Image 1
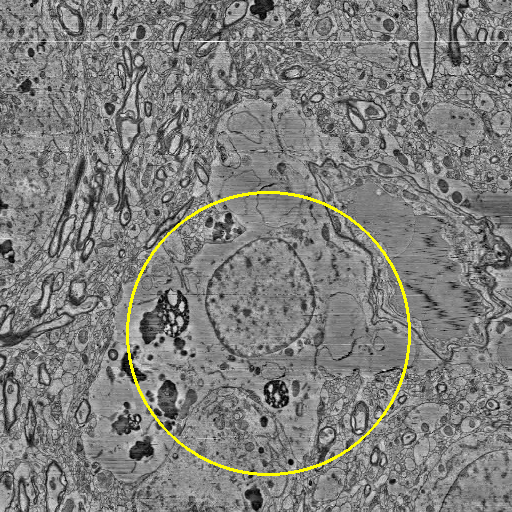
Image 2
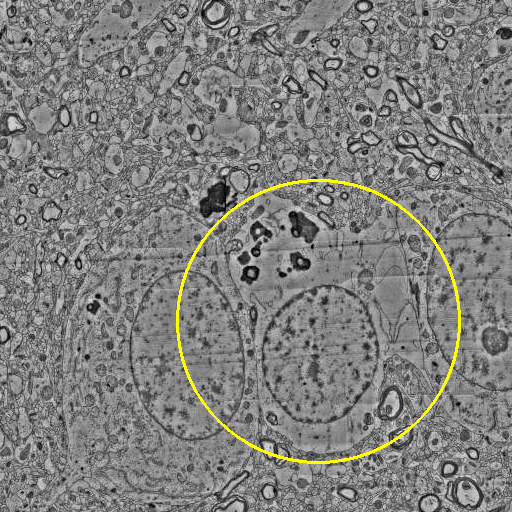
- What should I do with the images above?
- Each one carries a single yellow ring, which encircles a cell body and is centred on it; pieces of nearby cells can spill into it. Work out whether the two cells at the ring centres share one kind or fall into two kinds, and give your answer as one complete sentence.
The ring-centre cells of Image 1 and Image 2 share one kind.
